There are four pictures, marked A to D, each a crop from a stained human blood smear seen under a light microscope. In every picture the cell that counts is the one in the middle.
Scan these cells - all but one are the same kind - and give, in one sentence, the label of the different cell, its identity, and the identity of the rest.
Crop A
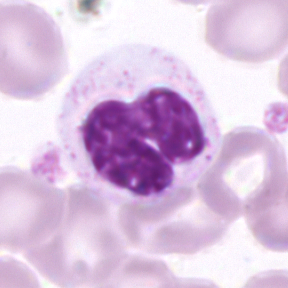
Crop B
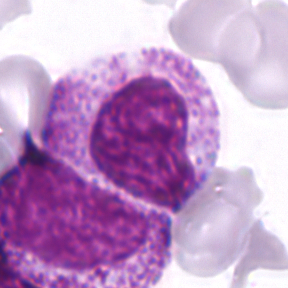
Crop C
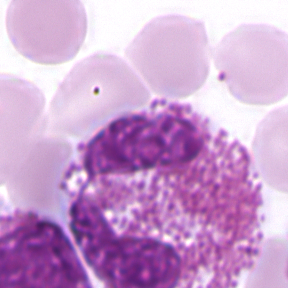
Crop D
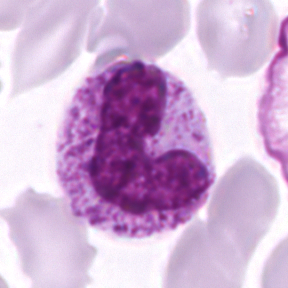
The different one is crop C, which is an eosinophil; the rest all show band neutrophils.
